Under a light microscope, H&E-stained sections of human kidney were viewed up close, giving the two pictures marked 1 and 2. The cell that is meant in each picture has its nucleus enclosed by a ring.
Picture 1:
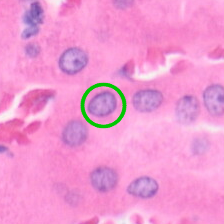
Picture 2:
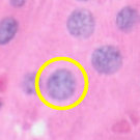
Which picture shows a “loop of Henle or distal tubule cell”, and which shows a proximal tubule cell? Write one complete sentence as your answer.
The cell in picture 1 is a proximal tubule cell, and the one in picture 2 is a “loop of Henle or distal tubule cell”.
